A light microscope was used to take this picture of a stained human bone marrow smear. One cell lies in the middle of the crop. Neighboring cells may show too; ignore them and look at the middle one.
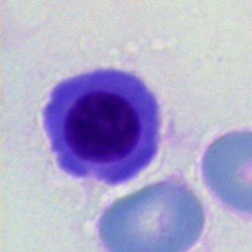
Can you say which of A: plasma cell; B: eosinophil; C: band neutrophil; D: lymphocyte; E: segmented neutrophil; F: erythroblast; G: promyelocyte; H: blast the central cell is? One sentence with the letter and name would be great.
The correct response is option F, naming the cell in the middle as an erythroblast.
